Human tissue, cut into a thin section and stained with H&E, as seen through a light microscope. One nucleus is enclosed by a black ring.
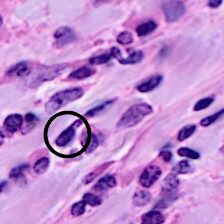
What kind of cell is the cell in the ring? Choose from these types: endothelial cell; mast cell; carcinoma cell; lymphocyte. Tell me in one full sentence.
Histopathologically, the cell in the ring is a lymphocyte.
